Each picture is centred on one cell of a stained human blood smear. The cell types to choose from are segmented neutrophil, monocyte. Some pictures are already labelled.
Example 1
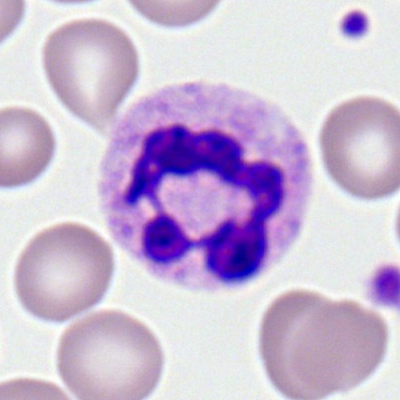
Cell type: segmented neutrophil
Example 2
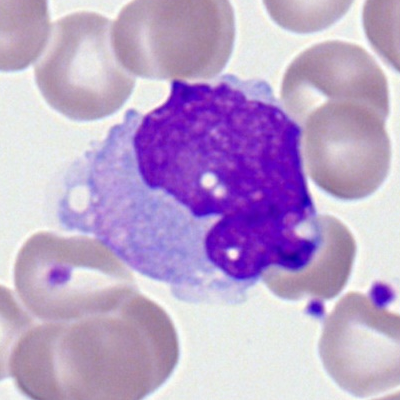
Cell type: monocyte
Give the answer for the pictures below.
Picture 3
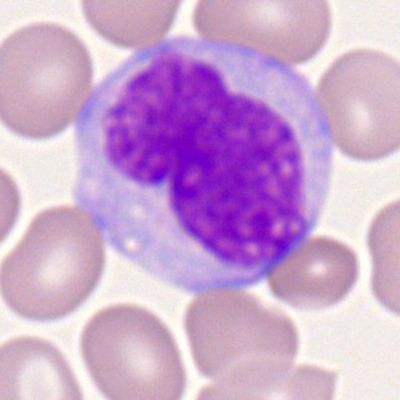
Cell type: monocyte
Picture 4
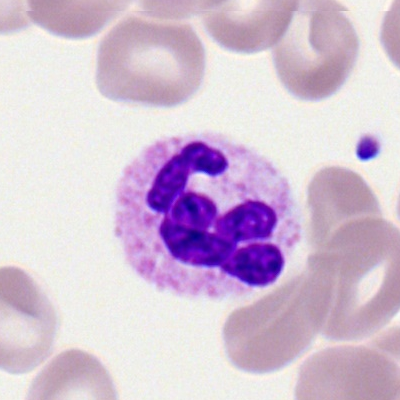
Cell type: segmented neutrophil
